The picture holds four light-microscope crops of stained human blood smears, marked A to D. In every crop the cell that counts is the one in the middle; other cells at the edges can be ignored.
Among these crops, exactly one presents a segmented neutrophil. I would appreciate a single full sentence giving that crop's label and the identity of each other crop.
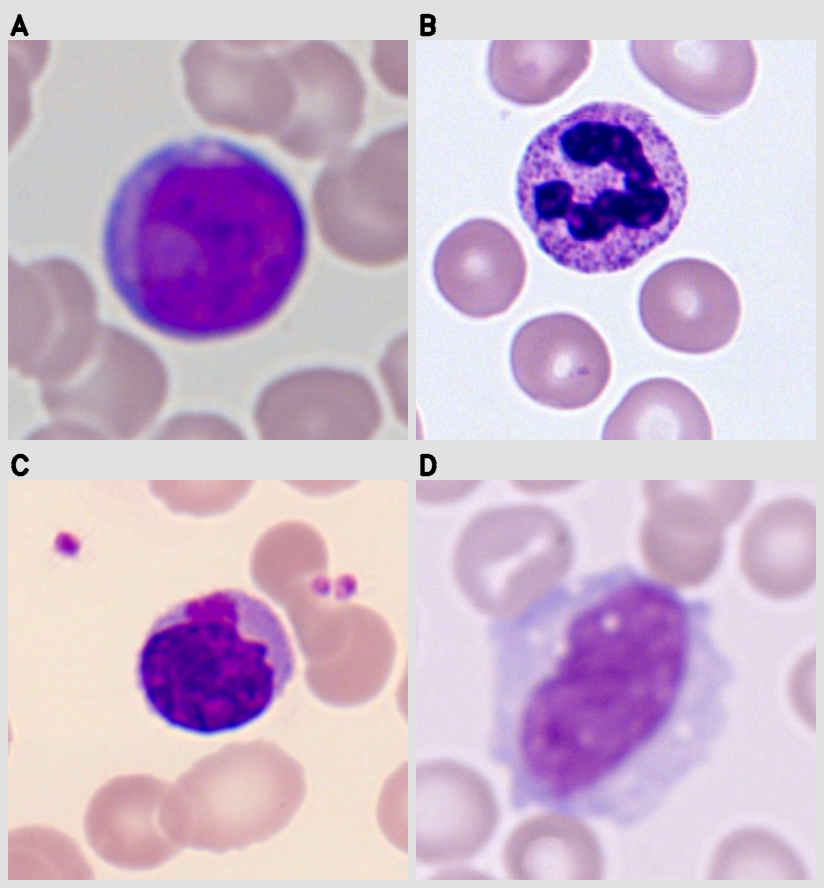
Crop B is classified as a segmented neutrophil, whereas crop A is a myeloblast, crop C is a lymphocyte and crop D is a monocyte.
